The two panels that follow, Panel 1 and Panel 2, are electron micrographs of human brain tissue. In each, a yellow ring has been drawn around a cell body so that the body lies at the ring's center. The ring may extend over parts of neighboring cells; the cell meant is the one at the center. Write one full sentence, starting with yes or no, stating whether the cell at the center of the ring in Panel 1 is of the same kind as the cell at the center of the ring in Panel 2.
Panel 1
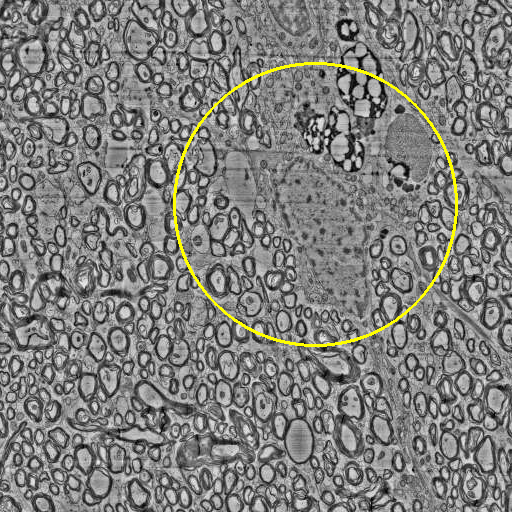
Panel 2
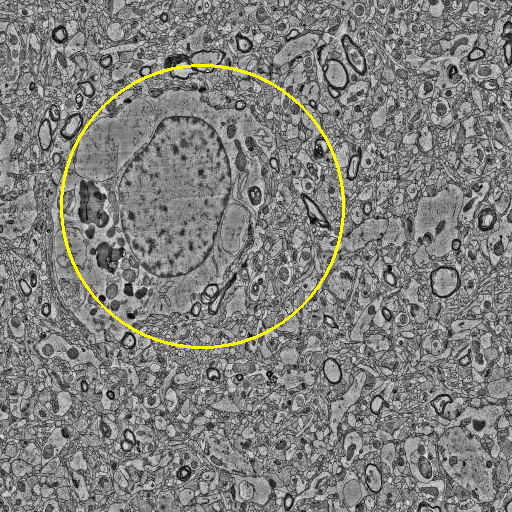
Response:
Yes, the cells in both panels are of the same kind.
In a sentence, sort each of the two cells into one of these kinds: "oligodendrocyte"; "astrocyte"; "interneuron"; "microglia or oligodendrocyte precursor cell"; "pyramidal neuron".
The first and the second cell are each an astrocyte.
